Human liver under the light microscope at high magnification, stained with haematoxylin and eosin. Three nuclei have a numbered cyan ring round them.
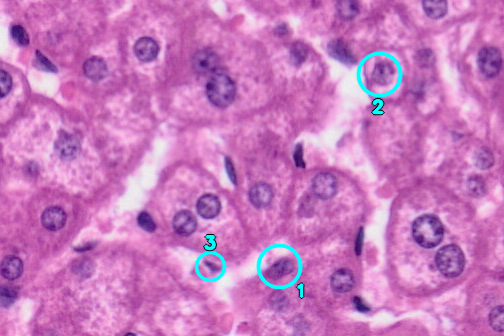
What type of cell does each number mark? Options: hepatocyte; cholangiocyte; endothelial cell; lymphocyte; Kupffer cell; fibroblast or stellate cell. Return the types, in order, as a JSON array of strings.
["Kupffer cell", "hepatocyte", "endothelial cell"]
